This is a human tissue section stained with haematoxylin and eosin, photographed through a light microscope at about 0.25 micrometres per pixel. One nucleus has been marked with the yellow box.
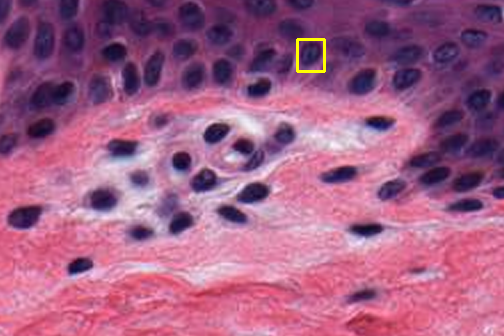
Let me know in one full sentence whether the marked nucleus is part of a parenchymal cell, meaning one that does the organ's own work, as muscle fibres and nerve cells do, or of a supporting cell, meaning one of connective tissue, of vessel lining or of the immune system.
The cell to which the marked nucleus belongs is a keratinocyte, a parenchymal cell.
